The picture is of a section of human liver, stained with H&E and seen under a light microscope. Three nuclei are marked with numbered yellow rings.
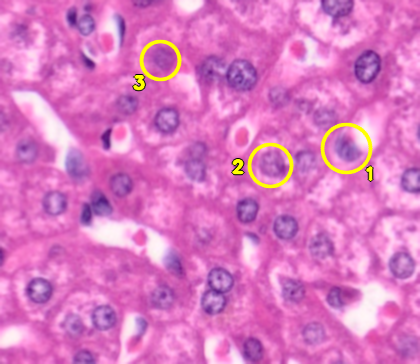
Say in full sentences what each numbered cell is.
Cell 1 is an endothelial cell, cell 2 is a hepatocyte and cell 3 is a hepatocyte.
